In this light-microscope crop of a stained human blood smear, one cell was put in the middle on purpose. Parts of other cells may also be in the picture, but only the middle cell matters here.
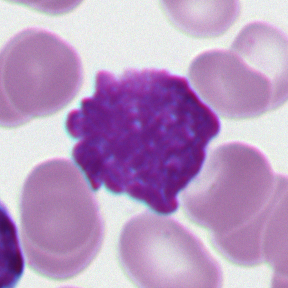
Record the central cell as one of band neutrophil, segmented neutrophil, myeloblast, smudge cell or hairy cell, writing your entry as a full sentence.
Whatever else lies nearby, the middle cell is a smudge cell.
